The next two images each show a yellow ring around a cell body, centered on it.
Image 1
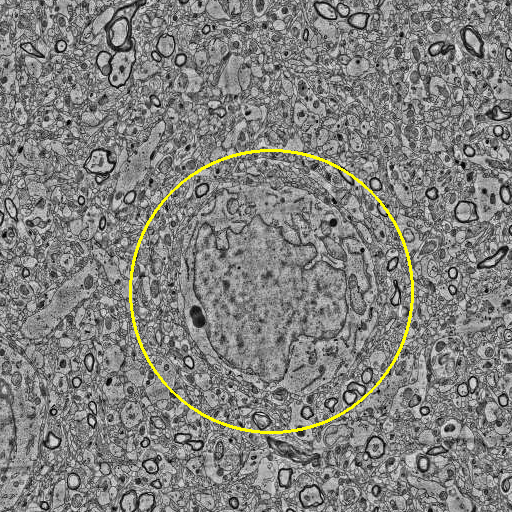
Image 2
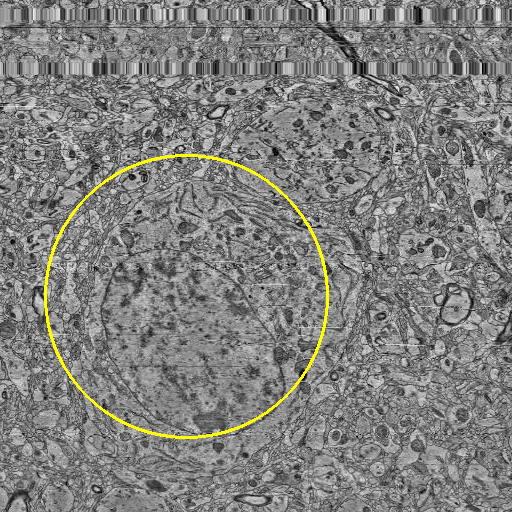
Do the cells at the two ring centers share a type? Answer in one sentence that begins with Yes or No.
Yes, across the two images the cells at the ring centers share one type.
